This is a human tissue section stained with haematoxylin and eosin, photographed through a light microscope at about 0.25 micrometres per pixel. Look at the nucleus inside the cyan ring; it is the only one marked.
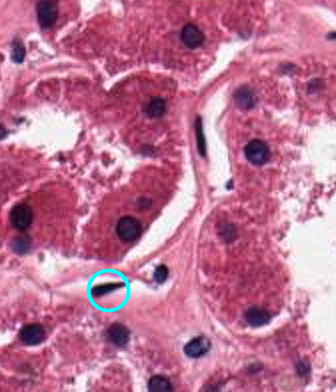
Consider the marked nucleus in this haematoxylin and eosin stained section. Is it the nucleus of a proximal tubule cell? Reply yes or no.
no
